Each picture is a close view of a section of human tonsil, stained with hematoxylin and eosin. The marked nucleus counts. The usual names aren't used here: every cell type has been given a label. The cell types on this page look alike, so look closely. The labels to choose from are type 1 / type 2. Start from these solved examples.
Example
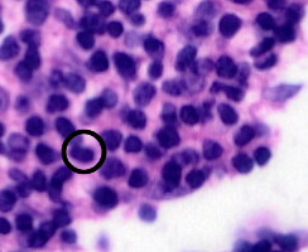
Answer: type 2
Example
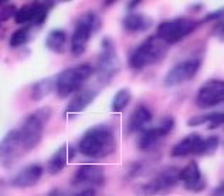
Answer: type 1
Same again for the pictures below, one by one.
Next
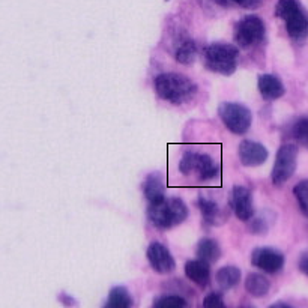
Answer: type 1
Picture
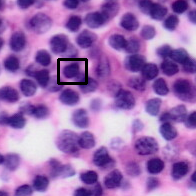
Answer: type 2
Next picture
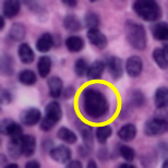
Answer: type 1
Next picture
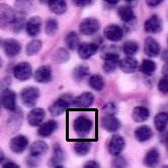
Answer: type 2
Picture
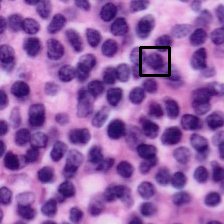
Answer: type 2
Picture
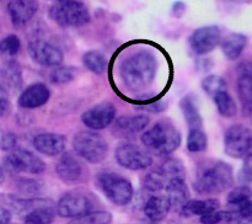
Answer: type 1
